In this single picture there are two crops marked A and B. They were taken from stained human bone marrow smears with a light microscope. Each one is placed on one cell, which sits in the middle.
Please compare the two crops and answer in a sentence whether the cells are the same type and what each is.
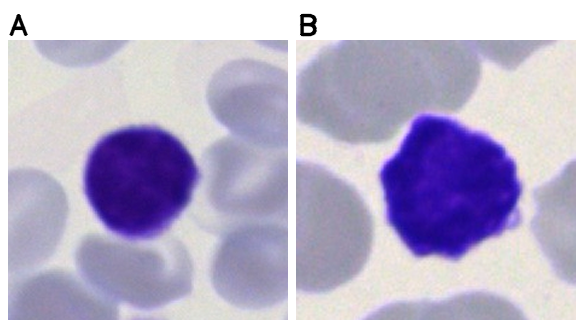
Yes, both crops in the pair show lymphocytes.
